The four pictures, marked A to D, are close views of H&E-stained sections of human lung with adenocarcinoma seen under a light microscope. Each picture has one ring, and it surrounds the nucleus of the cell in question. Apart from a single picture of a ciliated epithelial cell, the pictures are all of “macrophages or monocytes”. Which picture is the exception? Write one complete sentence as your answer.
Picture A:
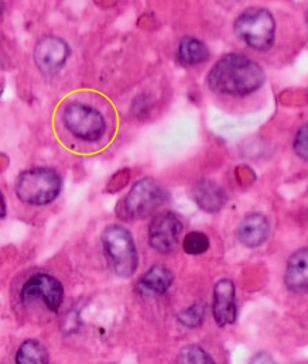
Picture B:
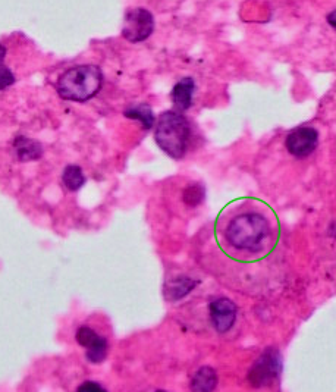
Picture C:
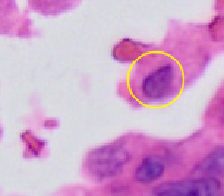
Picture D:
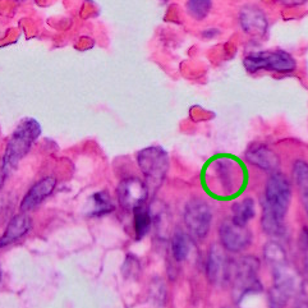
The picture with the ciliated epithelial cell is D.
